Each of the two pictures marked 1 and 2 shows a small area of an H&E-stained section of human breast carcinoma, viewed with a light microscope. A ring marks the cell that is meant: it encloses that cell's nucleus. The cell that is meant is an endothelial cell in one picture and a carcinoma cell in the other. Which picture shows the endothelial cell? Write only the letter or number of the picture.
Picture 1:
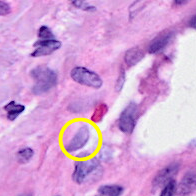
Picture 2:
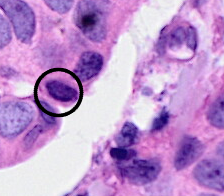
1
